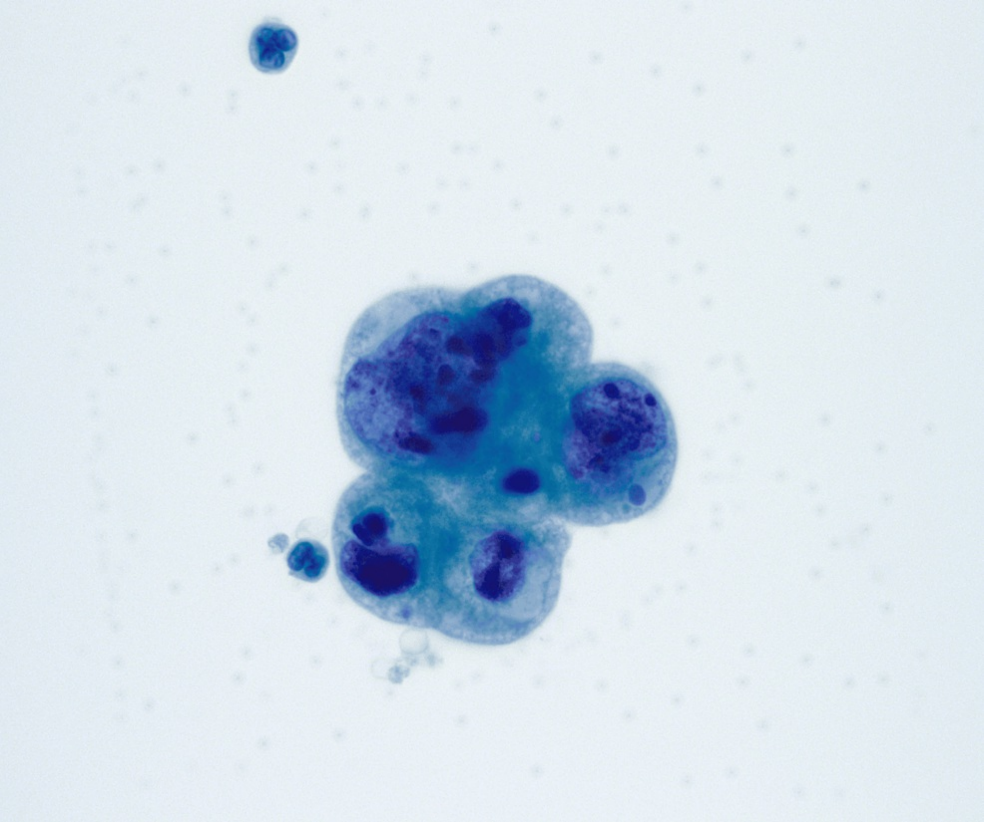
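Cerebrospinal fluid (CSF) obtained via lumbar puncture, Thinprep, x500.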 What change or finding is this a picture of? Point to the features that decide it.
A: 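The large nuclei hold dark, coarse clumps of chromatin. Some nuclei are stained very dark.
Answer: coarse chromatin clumping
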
